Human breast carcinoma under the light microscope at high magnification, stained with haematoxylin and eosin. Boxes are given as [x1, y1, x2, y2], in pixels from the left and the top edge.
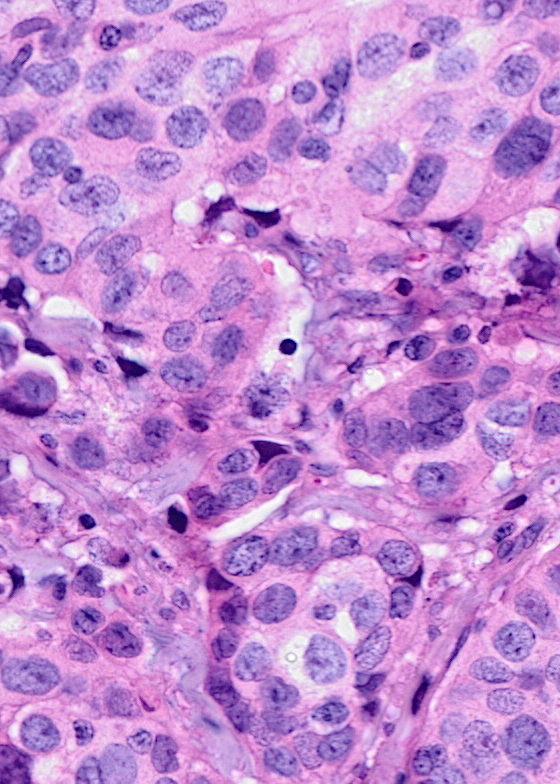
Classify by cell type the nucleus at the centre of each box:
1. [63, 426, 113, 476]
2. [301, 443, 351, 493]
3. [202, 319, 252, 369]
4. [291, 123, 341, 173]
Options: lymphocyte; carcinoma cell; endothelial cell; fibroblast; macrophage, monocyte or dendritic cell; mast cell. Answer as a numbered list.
1. carcinoma cell
2. endothelial cell
3. carcinoma cell
4. carcinoma cell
